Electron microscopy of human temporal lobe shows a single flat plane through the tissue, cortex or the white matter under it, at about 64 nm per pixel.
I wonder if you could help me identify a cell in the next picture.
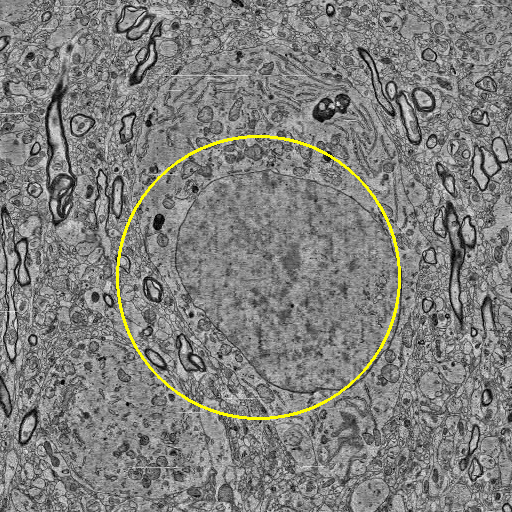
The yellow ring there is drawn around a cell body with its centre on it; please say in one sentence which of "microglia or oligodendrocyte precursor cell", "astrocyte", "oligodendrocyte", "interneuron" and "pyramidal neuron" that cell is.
The yellow ring is centred on an interneuron.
